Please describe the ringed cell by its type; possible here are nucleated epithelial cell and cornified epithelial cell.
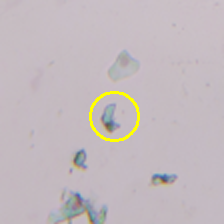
The yellow ring marks a cornified epithelial cell.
